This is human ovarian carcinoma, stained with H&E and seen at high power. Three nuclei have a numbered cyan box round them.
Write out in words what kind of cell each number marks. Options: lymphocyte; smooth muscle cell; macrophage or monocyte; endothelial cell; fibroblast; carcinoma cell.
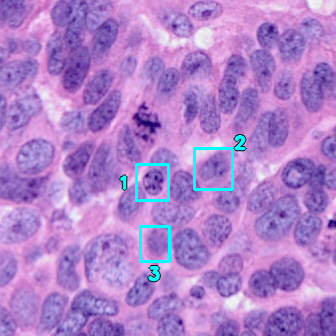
Cell 1 is a lymphocyte. Cells 2 and 3 are carcinoma cells.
